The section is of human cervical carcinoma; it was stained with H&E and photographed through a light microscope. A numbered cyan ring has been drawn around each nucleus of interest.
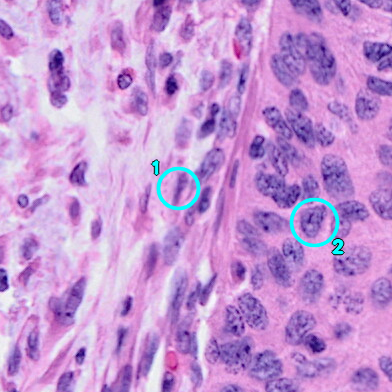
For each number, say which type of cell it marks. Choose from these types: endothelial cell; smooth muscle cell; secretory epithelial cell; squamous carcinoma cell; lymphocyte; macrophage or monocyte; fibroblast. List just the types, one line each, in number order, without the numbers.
fibroblast
squamous carcinoma cell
